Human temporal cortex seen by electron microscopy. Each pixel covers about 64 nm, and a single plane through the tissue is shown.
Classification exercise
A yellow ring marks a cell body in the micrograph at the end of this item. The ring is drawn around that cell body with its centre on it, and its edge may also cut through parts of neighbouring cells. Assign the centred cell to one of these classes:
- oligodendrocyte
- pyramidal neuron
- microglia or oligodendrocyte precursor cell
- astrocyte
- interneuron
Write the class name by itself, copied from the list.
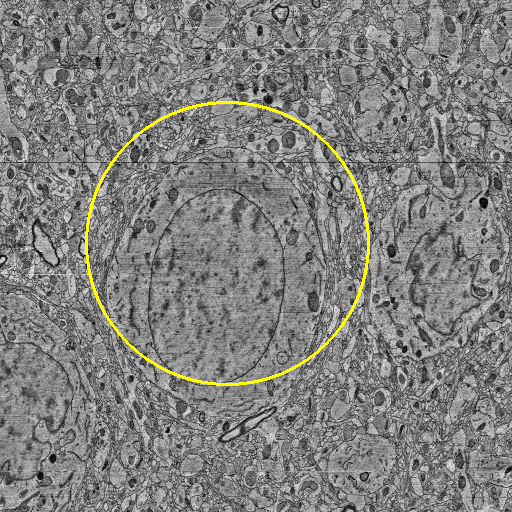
pyramidal neuron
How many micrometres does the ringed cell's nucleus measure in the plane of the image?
In this plane the nucleus is clearly longer than it is wide, at approximately 13 by 9 micrometres.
